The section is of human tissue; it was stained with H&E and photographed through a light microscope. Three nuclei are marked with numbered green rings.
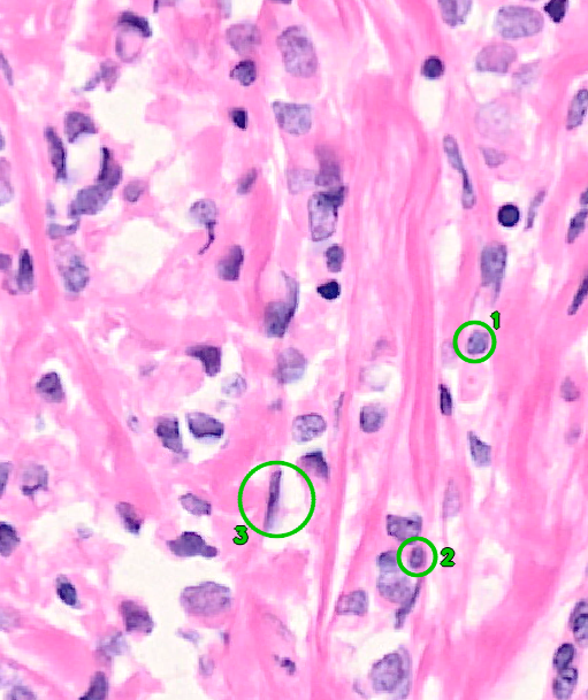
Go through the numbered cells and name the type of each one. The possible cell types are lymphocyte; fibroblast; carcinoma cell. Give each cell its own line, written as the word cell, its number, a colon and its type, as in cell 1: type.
cell 1: lymphocyte
cell 2: lymphocyte
cell 3: fibroblast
